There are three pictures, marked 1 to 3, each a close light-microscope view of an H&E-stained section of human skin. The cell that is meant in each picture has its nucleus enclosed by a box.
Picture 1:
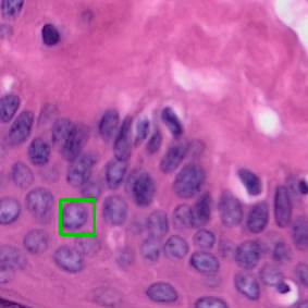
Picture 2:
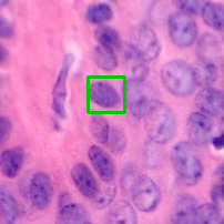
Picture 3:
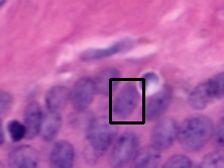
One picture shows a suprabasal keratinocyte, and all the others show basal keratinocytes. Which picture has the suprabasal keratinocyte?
1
